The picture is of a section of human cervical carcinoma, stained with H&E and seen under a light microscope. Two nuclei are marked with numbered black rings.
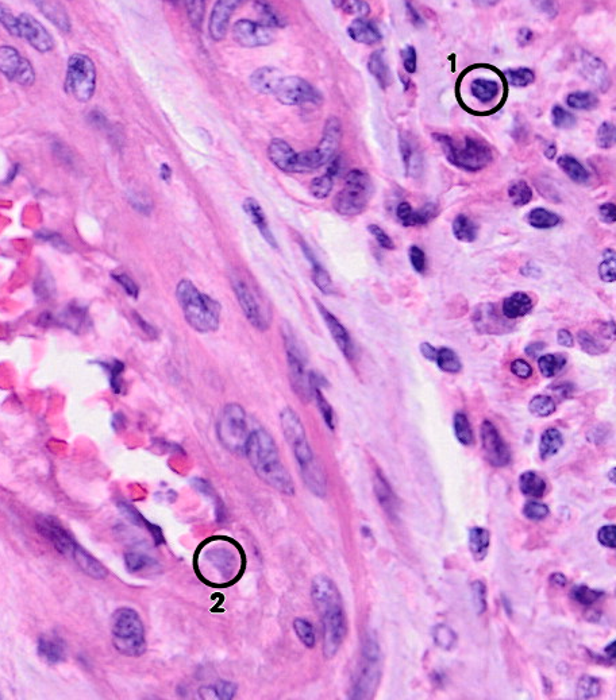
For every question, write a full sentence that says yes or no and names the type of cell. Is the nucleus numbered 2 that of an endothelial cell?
Yes, that is so; number 2 marks an endothelial cell.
